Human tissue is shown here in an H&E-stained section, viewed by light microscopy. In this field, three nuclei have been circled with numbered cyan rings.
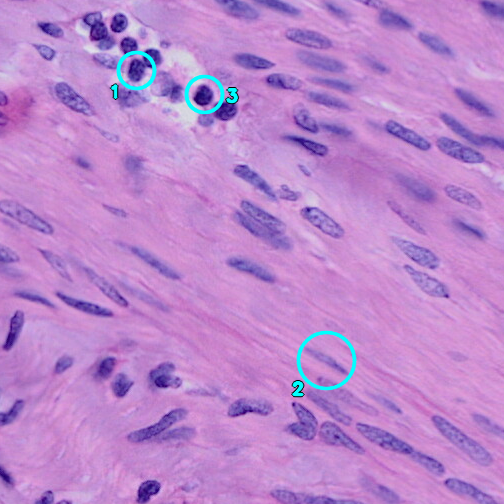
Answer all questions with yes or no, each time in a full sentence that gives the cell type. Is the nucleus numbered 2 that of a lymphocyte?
No. Cell number 2 is a fibroblast, not a lymphocyte.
